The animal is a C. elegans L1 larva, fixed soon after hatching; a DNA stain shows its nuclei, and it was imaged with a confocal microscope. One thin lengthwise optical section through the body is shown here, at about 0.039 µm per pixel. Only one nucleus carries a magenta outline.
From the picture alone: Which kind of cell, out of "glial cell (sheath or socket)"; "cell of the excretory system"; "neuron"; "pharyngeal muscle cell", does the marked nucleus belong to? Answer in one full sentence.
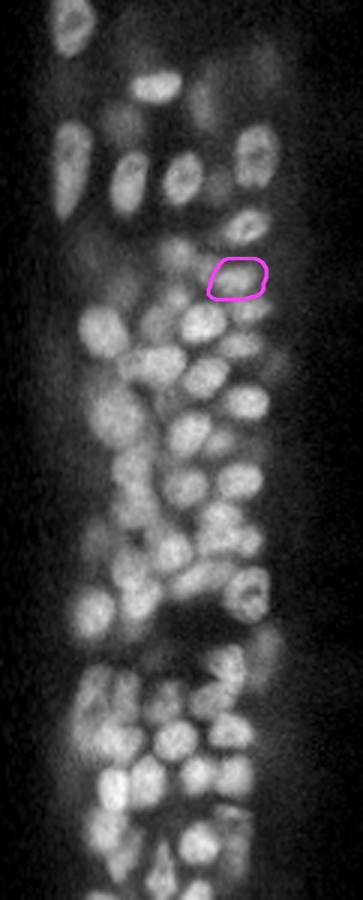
This nucleus is from a neuron.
